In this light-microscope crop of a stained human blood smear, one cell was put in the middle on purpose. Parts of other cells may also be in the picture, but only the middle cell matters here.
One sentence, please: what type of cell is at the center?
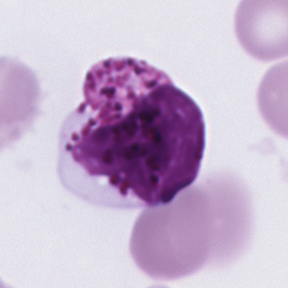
The cell occupying the middle of the crop is a basophil.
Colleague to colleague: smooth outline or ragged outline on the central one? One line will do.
The edge of the cell is unbroken and smooth, bearing no projections.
